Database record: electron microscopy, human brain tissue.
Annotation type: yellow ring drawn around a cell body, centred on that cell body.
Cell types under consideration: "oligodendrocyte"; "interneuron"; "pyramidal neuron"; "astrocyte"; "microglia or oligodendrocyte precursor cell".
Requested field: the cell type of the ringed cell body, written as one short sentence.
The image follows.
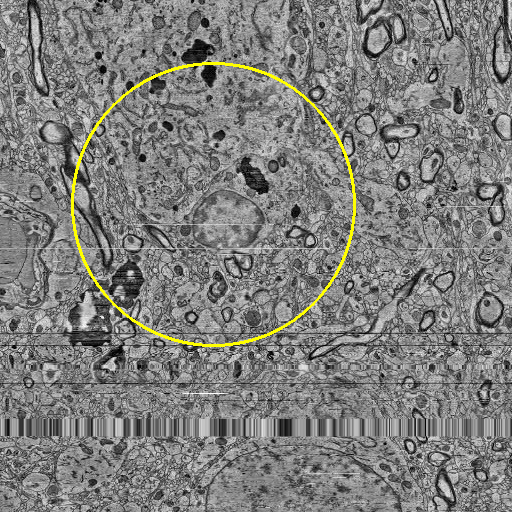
The ringed cell body represents an oligodendrocyte.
